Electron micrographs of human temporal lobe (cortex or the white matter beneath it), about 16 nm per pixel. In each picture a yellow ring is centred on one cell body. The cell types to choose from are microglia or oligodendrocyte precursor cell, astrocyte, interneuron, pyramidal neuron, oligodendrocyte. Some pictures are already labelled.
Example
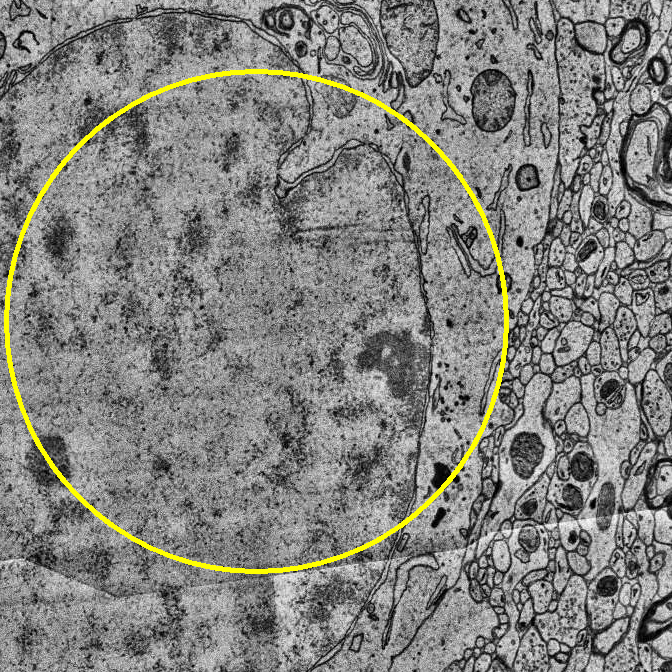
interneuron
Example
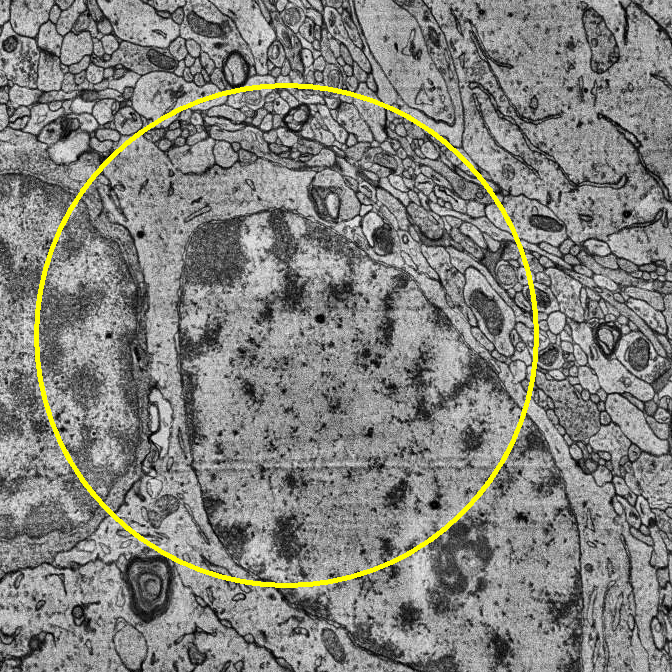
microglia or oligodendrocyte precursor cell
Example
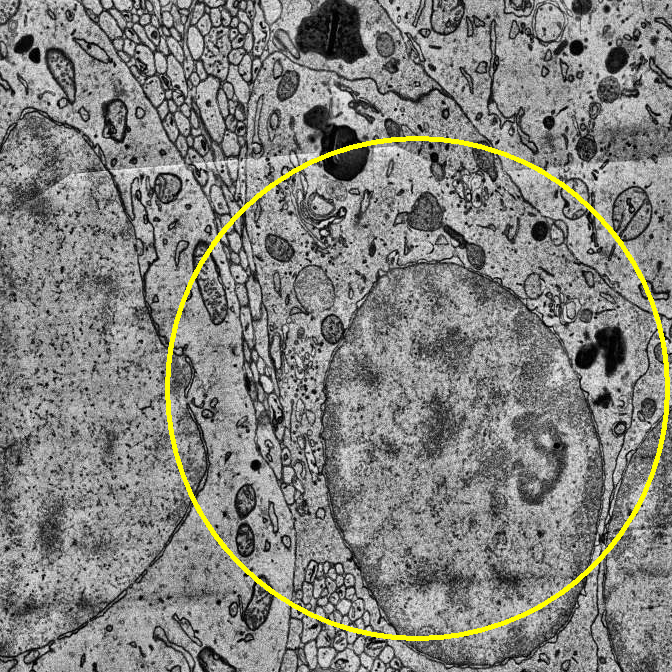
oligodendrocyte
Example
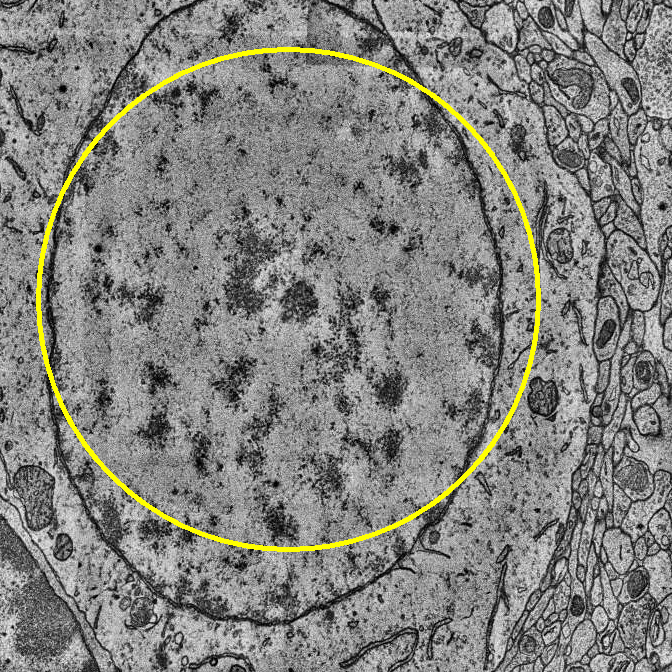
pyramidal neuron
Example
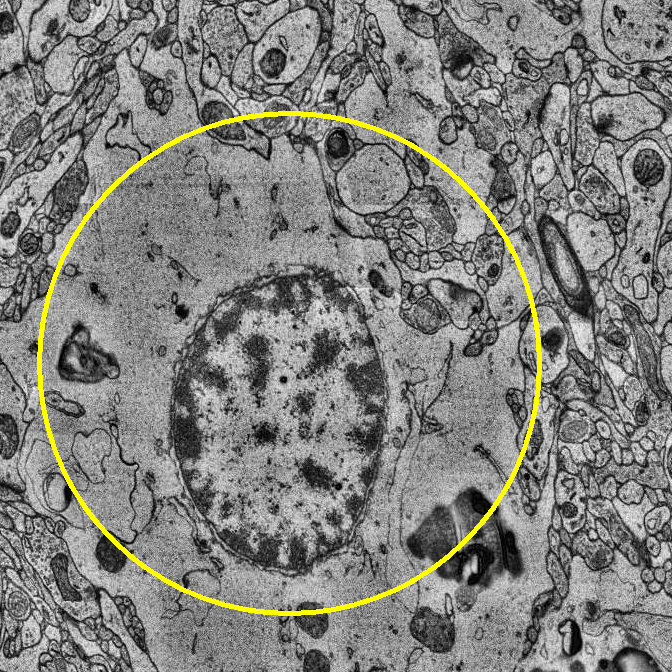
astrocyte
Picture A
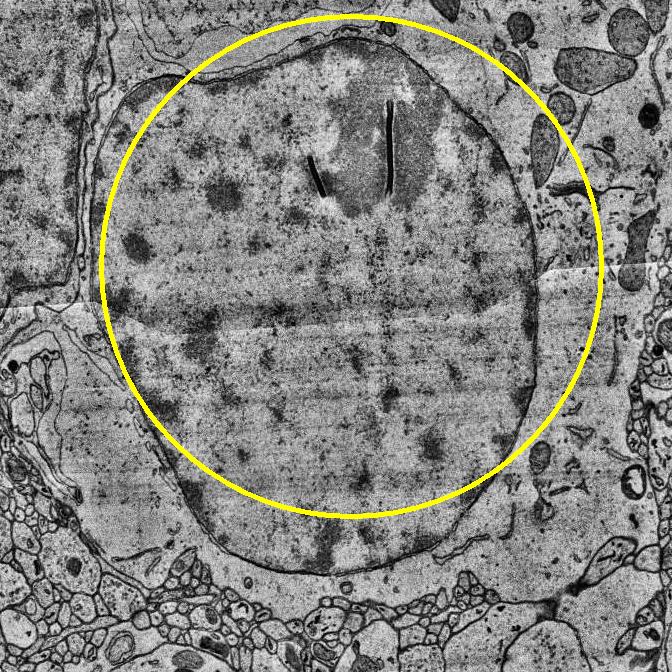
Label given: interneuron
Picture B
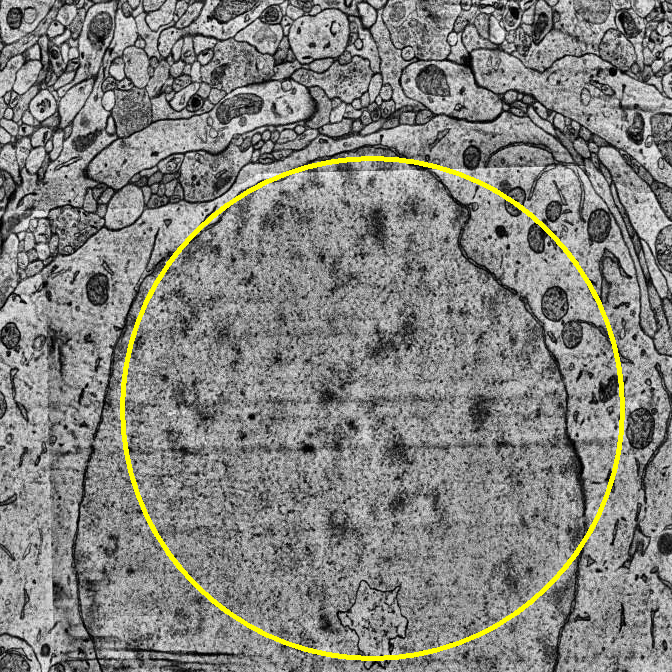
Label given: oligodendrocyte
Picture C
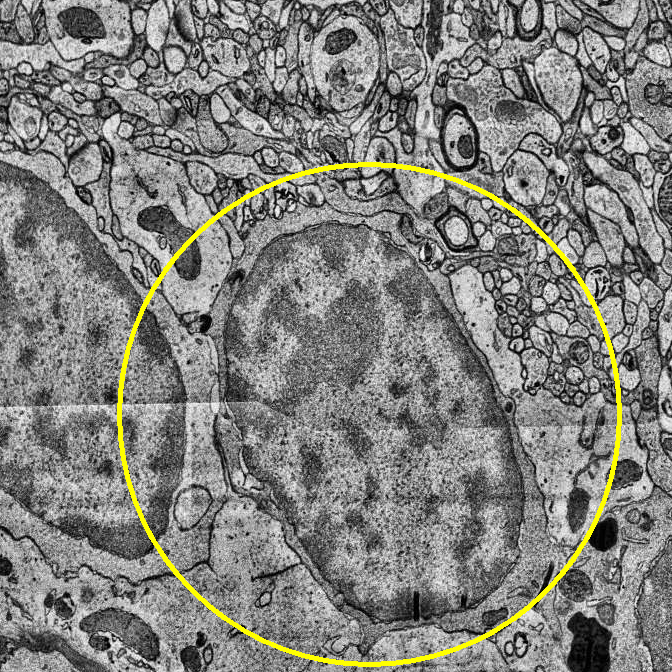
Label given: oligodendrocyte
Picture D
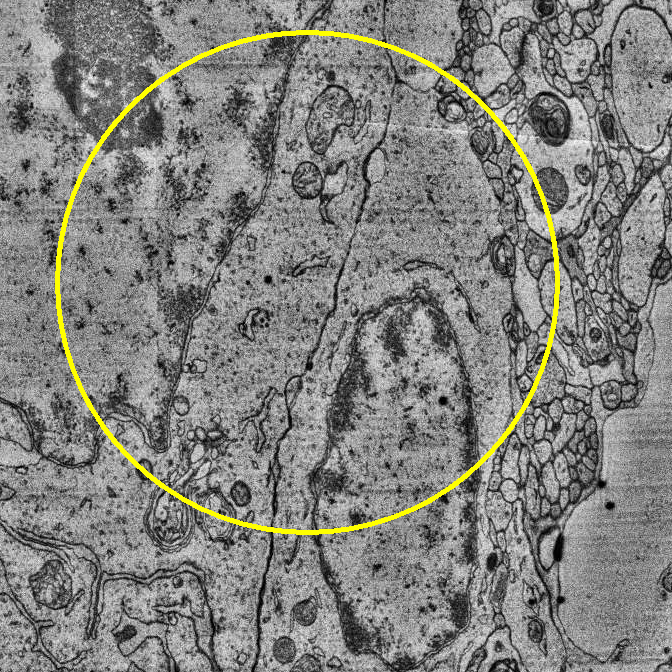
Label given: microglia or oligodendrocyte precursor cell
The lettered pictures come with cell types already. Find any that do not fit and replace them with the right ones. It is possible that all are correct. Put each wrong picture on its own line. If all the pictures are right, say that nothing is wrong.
A: astrocyte, not interneuron
B: pyramidal neuron, not oligodendrocyte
